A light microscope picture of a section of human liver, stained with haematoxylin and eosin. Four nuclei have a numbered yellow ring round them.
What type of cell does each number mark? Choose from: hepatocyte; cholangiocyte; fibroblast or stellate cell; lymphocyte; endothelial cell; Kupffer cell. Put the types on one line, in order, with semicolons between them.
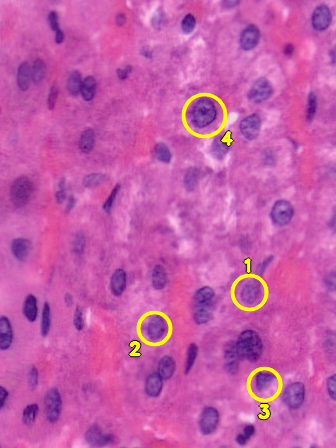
hepatocyte; hepatocyte; fibroblast or stellate cell; hepatocyte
